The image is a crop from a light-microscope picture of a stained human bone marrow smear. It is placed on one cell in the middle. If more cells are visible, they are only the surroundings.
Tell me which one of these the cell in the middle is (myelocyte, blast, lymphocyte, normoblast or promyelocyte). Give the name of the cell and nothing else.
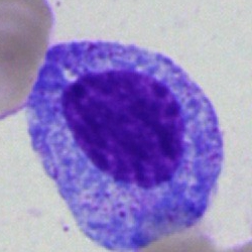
promyelocyte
